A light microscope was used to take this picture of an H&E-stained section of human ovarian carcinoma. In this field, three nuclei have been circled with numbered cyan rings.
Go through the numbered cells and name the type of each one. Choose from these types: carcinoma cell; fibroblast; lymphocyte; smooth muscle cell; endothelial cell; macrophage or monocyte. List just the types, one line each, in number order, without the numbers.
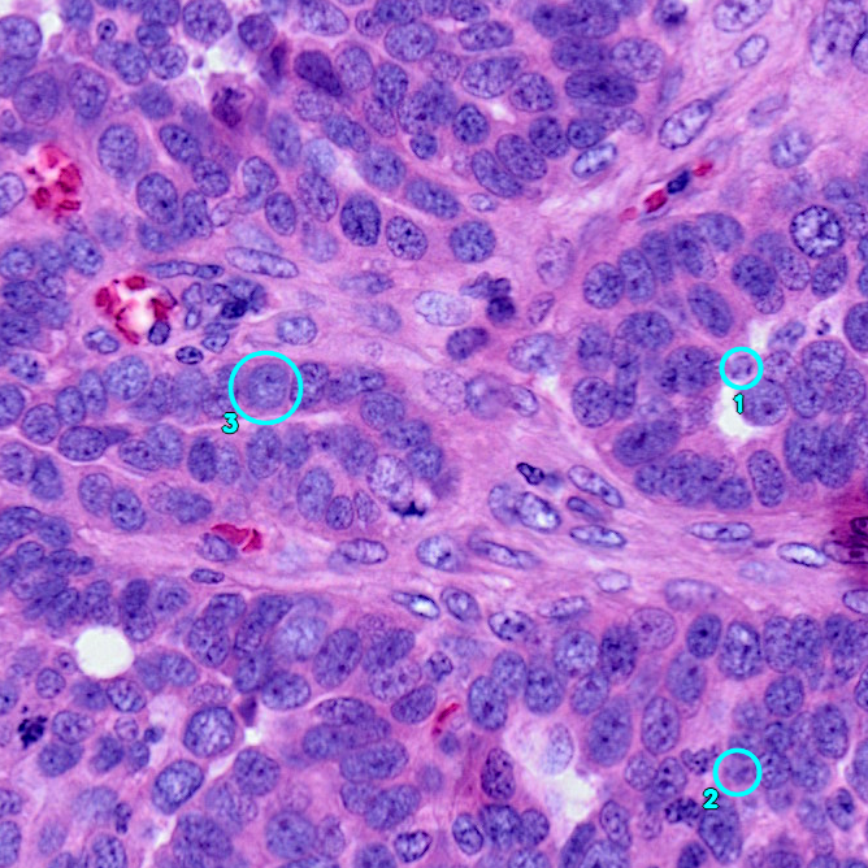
macrophage or monocyte
carcinoma cell
carcinoma cell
